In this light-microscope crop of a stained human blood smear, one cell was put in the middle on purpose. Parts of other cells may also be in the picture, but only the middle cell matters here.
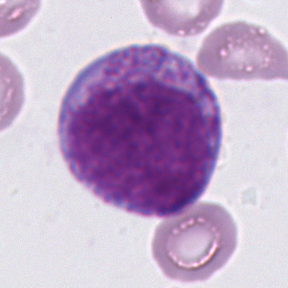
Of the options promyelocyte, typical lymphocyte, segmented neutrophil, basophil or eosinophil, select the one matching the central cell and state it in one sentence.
Standing at the centre of this crop is a promyelocyte.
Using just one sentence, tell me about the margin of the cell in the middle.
Worth noting that the cell border is smooth and lacks projections.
